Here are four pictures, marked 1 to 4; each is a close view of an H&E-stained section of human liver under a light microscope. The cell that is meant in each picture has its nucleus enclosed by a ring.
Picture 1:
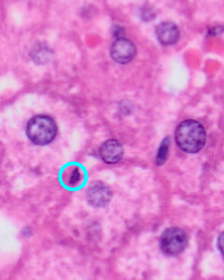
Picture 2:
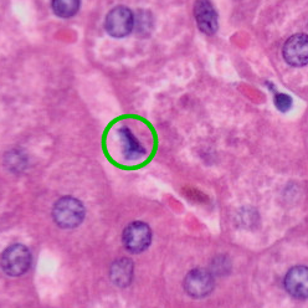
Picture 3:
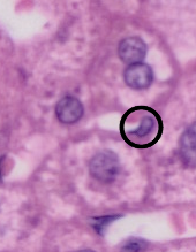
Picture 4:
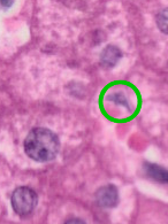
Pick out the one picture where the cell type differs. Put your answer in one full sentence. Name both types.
The others show endothelial cells, but picture 1 shows a “fibroblast or stellate cell”.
